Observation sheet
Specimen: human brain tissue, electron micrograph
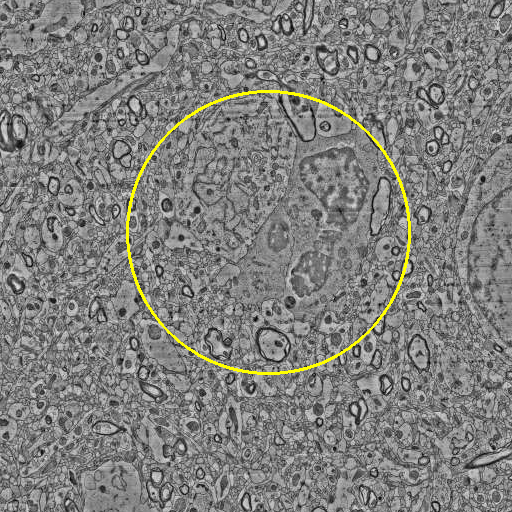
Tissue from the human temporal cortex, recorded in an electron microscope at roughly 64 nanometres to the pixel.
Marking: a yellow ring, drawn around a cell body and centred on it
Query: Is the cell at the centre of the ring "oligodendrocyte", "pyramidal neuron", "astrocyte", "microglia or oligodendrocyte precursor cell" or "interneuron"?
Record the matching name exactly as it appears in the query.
oligodendrocyte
